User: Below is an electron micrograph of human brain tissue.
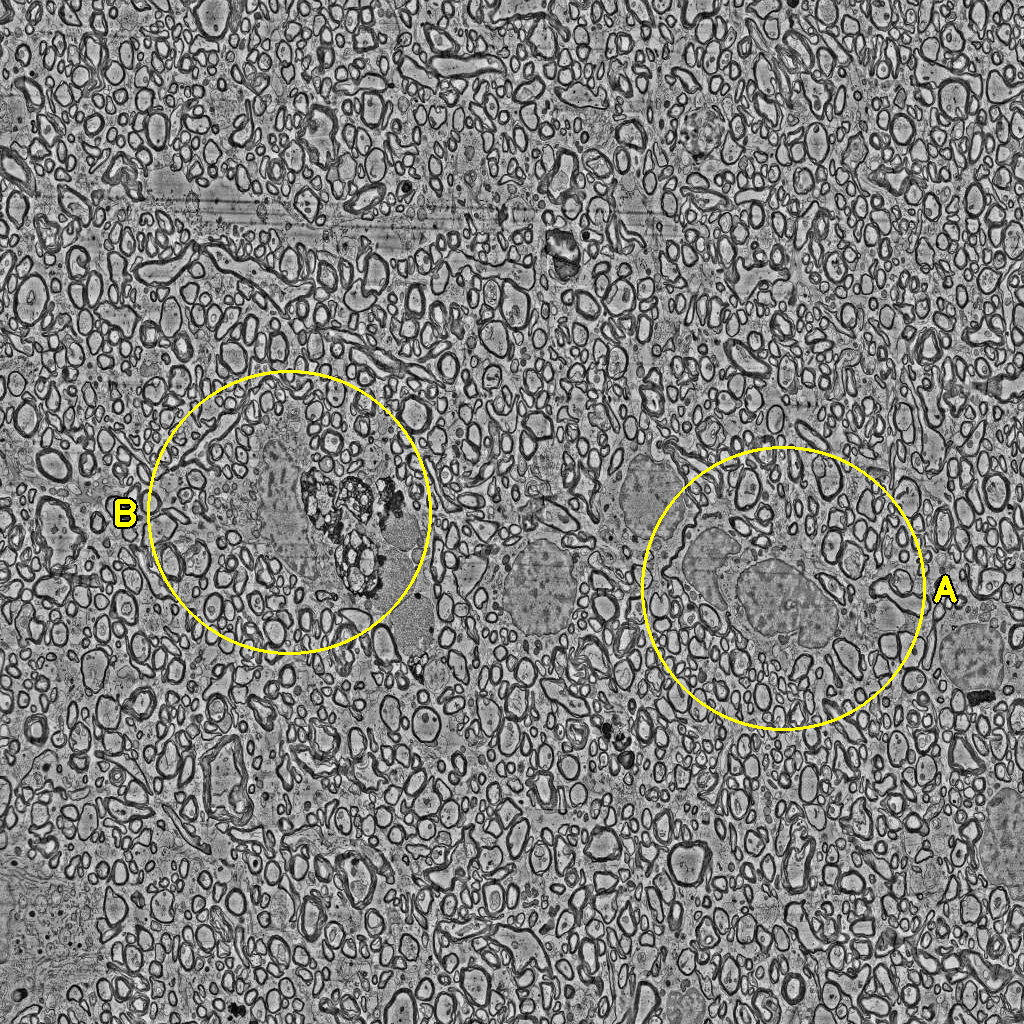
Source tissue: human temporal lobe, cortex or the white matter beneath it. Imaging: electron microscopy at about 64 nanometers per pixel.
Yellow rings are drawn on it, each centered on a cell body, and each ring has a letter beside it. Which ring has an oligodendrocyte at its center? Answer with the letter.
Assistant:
A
